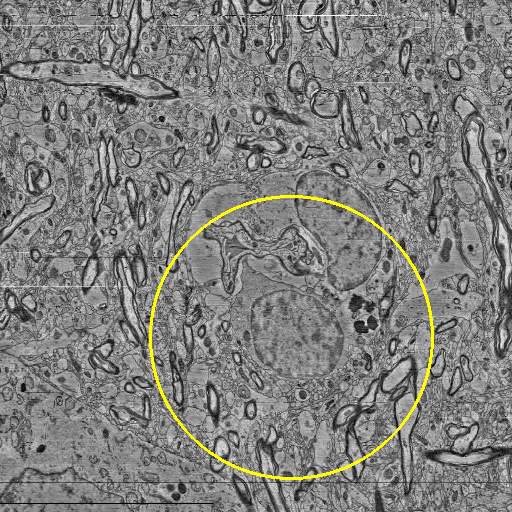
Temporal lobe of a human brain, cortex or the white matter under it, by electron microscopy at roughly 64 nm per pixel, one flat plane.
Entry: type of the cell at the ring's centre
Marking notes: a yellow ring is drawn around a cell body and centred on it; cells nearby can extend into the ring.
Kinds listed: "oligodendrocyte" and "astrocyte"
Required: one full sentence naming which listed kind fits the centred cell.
My entry names an oligodendrocyte as the cell whose body the yellow ring centres on.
